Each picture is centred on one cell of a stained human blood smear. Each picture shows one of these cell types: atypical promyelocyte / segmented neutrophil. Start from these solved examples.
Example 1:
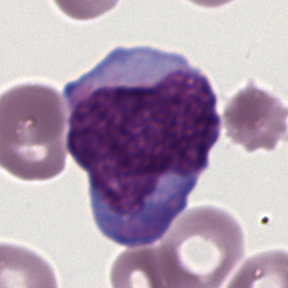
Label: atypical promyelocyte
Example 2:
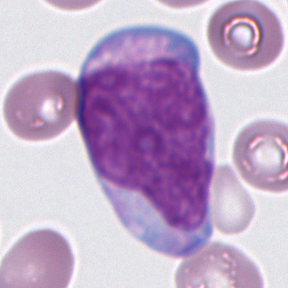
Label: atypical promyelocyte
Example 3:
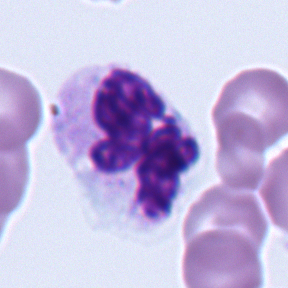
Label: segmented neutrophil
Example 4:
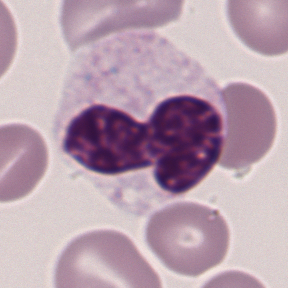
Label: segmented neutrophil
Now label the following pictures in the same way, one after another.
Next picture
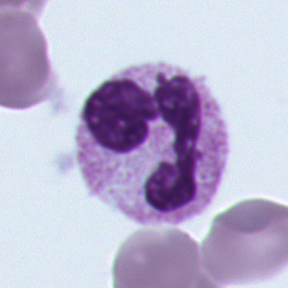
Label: segmented neutrophil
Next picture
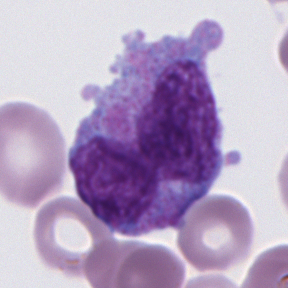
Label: atypical promyelocyte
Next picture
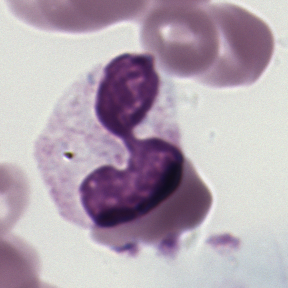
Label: segmented neutrophil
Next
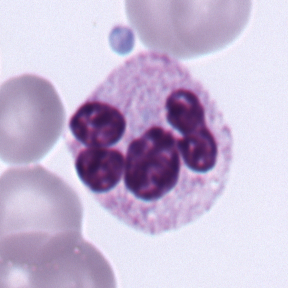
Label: segmented neutrophil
